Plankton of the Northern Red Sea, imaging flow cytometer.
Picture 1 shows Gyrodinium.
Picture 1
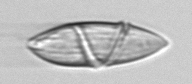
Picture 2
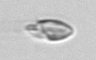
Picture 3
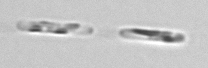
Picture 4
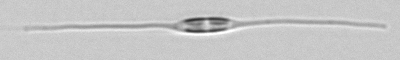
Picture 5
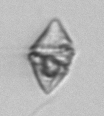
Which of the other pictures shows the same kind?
Picture 5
